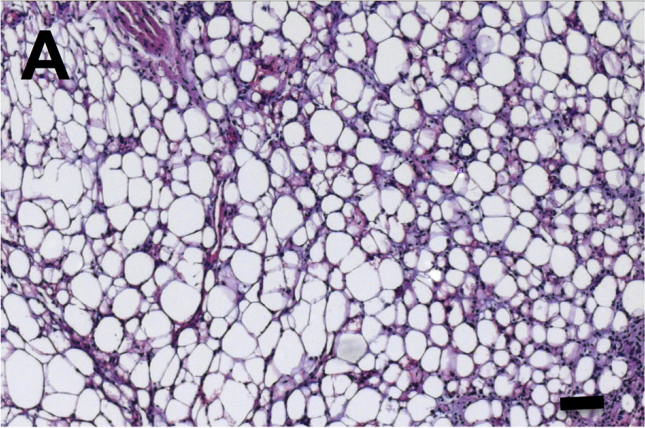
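The field is filled with adipocytes, each an empty, round to polygonal space of varying size bounded by a thin pink rim of cytoplasm. Small dark purple nuclei lie flattened in these rims and gather in narrow strands of stromal cells between groups of fat cells, with a few small vessels running through.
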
